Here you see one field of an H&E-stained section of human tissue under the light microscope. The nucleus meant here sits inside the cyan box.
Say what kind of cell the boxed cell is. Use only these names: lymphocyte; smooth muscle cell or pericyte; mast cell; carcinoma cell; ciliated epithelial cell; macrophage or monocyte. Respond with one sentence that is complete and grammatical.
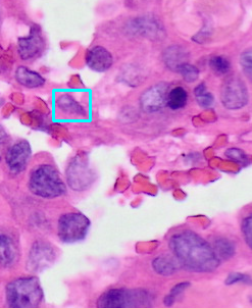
In the stained section, the boxed cell is a macrophage or monocyte.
